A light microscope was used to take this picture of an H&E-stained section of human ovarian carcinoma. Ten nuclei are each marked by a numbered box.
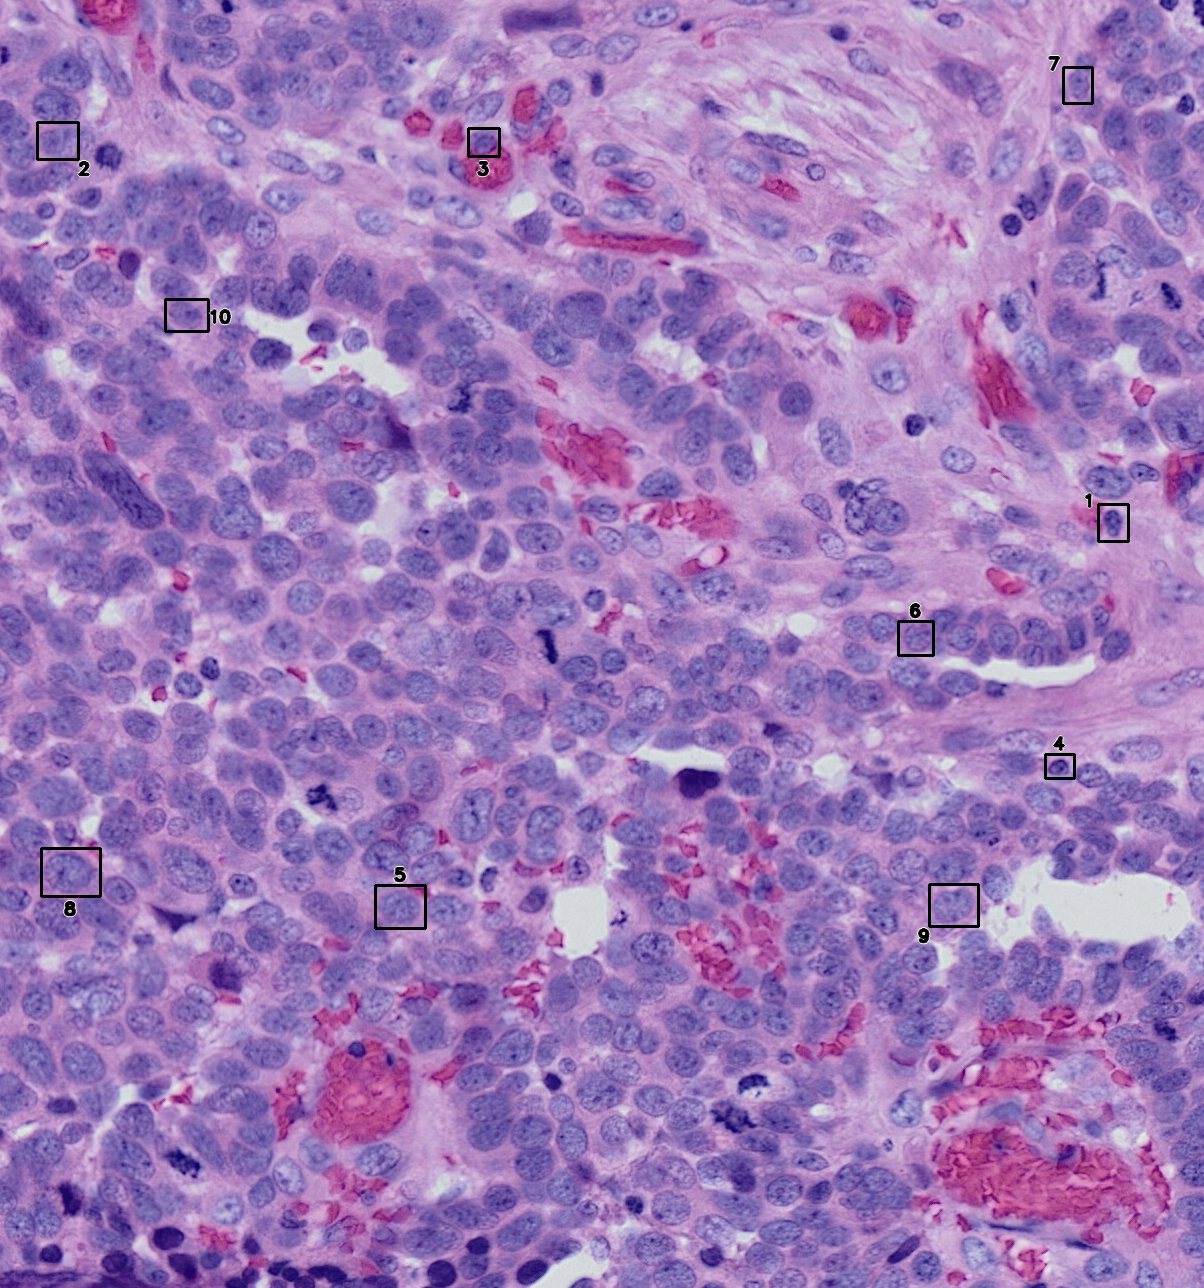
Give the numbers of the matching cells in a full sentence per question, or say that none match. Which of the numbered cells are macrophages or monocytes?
Only the cell with the number 7 is a macrophage or monocyte.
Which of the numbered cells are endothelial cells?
The only cell among those numbered to be an endothelial cell is number 3.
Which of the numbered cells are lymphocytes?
The cells to which the numbers 1 and 4 refer are lymphocytes.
